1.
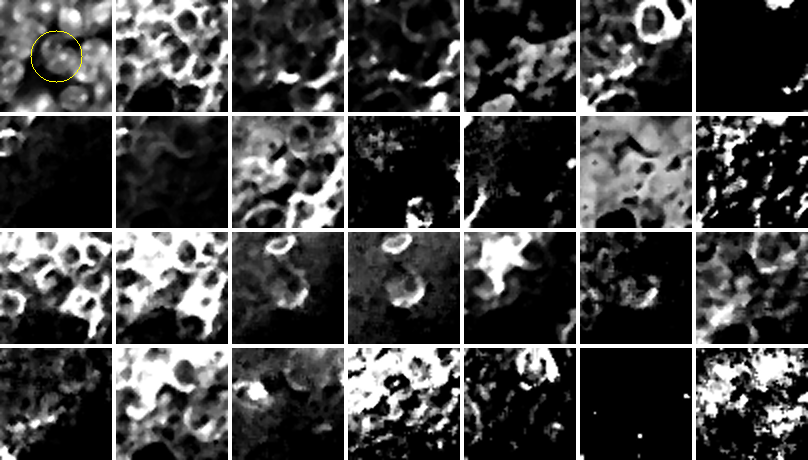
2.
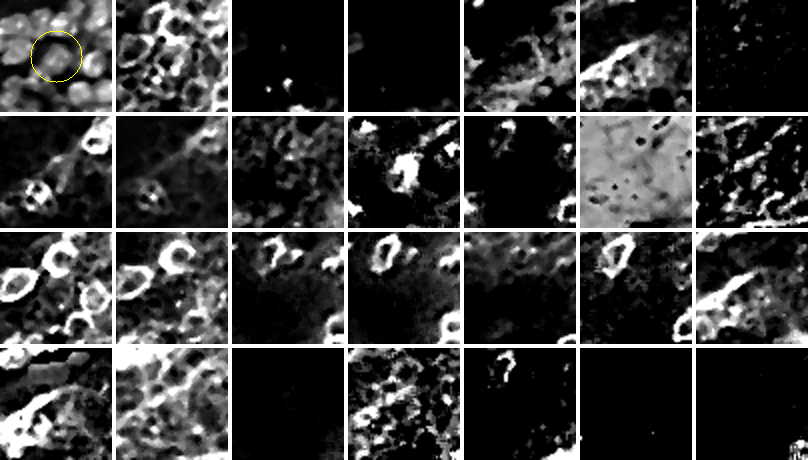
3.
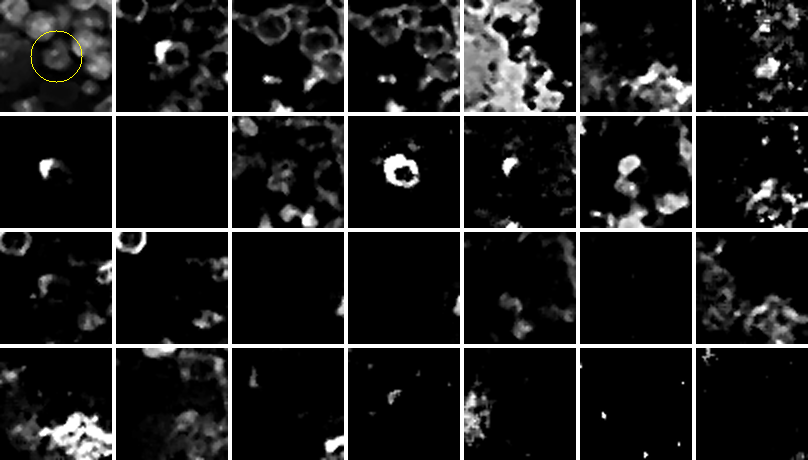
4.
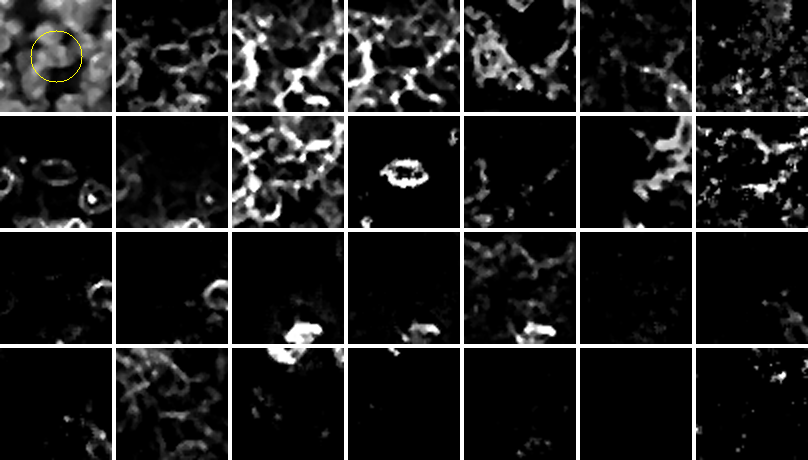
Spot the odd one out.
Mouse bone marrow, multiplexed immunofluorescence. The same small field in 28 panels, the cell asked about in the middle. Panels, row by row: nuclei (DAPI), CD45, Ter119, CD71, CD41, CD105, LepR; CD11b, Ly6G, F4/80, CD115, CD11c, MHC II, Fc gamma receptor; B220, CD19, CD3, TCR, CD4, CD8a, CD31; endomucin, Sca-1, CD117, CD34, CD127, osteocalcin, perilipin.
Picture 1 (a CD8 T cell among monocytes).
